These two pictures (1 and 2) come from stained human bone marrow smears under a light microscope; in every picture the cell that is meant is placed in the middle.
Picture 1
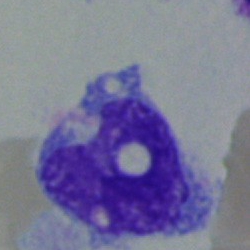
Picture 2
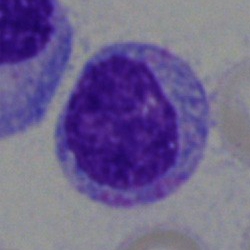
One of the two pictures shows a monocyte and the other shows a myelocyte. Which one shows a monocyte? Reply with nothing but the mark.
1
